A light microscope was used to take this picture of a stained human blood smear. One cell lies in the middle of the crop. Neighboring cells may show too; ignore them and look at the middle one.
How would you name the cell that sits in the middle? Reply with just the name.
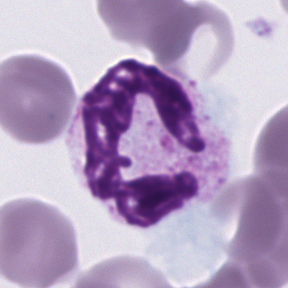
segmented neutrophil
